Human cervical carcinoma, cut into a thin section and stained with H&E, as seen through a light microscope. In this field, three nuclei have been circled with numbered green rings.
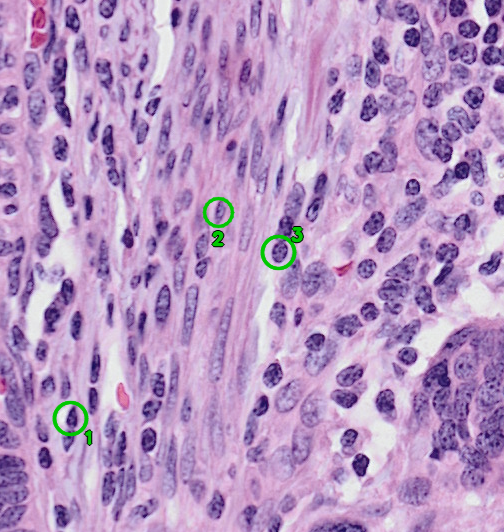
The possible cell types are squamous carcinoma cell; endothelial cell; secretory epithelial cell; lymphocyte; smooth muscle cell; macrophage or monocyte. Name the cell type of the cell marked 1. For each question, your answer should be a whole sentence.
Identified as a lymphocyte is the cell bearing the number 1.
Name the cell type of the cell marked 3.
The cell bearing label 3 corresponds to a lymphocyte.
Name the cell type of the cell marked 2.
The cell bearing label 2 corresponds to a smooth muscle cell.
